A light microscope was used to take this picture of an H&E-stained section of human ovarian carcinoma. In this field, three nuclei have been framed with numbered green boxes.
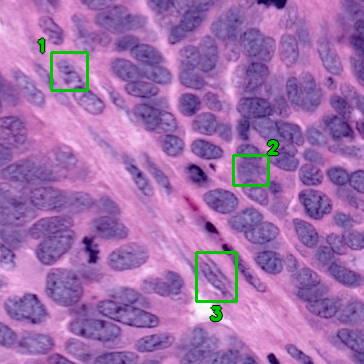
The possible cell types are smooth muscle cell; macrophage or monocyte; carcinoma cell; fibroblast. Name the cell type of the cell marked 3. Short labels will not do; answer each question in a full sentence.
The cell identified by the number 3 is a fibroblast.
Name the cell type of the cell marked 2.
The nucleus labeled 2 belongs to a carcinoma cell.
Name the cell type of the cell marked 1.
The numbered cell 1 in this field is a fibroblast.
